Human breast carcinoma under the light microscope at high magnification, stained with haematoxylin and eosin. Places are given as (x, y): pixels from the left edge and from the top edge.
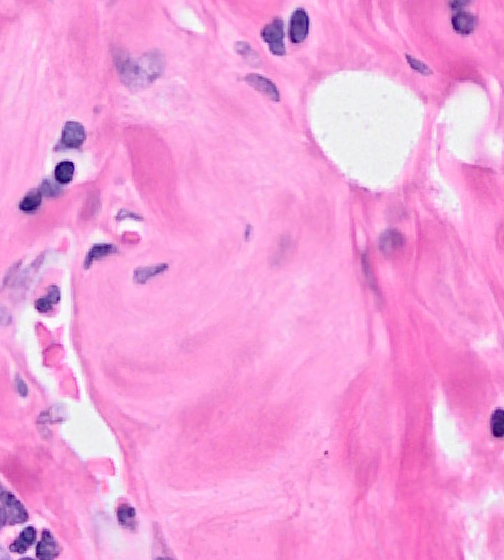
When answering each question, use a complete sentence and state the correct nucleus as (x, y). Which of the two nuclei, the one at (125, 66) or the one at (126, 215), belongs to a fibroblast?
Located at (125, 66), this nucleus is the one belonging to a fibroblast.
